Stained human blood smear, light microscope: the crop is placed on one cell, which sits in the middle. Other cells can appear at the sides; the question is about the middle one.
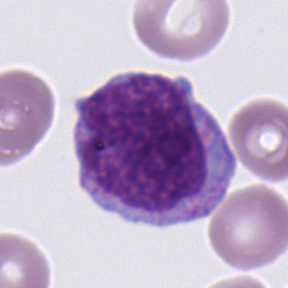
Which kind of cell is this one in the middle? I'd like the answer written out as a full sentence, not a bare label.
The cell under consideration, at the middle of the crop, is an atypical promyelocyte.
